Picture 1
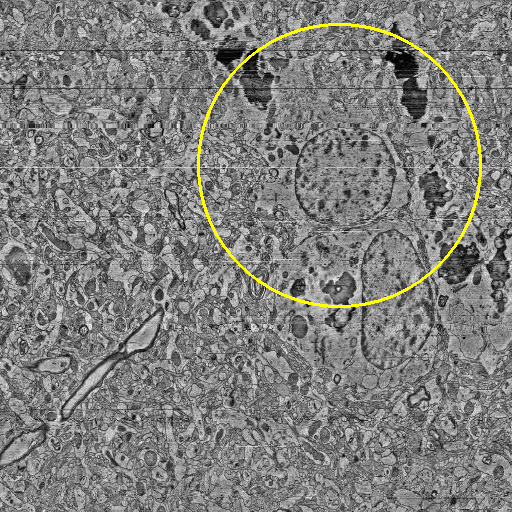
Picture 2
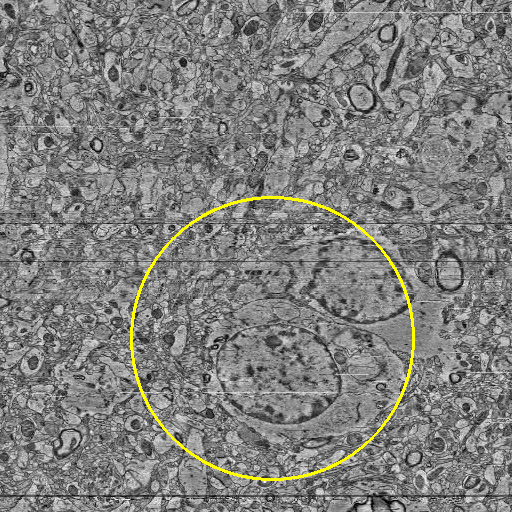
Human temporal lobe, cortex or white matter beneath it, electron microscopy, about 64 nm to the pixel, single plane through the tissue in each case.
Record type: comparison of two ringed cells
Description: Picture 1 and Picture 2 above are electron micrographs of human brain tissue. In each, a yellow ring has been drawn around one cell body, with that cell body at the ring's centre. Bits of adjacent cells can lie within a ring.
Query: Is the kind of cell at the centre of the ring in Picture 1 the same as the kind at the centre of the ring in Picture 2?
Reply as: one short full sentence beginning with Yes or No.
Yes, the two ringed cells are of the same kind.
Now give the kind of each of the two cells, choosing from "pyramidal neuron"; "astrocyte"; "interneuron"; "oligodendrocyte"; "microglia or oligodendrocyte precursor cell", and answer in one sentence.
Each of the ringed cells, first and second, is an astrocyte.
